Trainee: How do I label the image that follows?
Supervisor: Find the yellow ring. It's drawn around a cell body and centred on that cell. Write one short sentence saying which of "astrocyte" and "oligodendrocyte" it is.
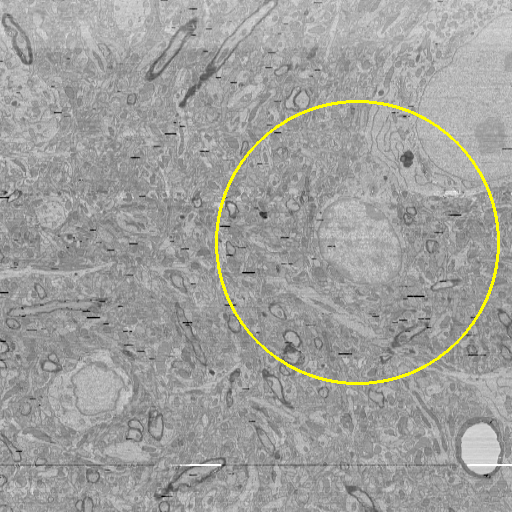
This is the cell body of an oligodendrocyte.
